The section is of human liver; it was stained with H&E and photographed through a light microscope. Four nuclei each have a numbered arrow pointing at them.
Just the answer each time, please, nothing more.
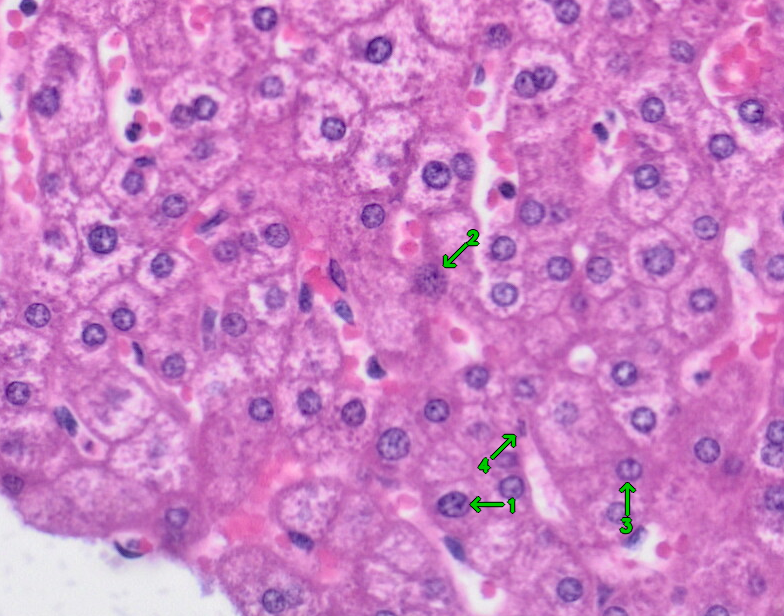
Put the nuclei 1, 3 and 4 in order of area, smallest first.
4, 3, 1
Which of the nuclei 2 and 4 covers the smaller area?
4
